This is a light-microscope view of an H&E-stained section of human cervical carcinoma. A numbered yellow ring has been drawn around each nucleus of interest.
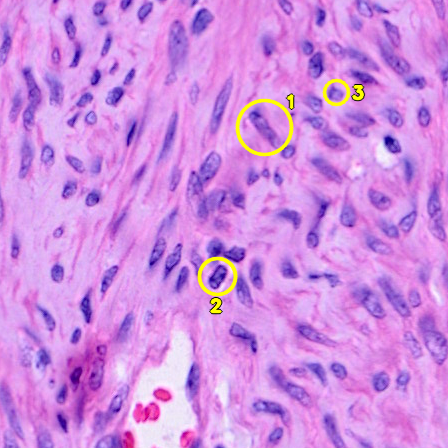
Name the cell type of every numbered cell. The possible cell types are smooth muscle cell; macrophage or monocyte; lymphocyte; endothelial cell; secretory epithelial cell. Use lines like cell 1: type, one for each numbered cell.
cell 1: smooth muscle cell
cell 2: lymphocyte
cell 3: smooth muscle cell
